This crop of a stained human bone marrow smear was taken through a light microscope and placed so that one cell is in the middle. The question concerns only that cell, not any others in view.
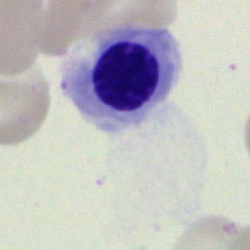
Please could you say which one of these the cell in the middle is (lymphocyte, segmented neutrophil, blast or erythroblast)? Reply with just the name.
erythroblast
